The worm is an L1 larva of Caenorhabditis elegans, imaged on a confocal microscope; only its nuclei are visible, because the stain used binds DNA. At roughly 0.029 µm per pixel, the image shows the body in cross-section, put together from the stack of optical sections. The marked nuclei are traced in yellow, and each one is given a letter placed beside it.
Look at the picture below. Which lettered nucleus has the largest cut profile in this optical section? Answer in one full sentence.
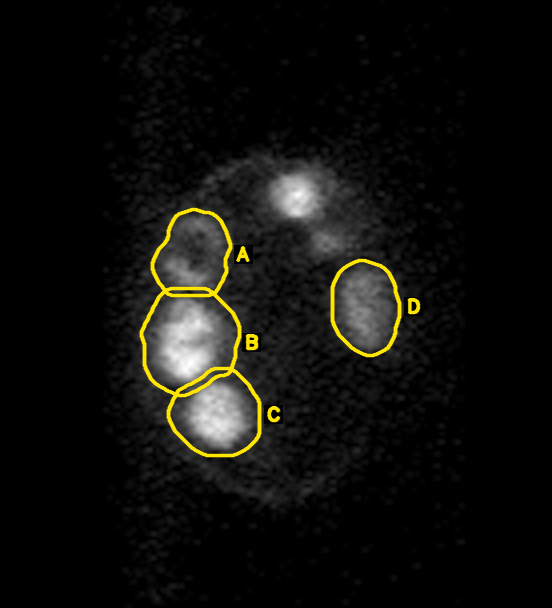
B has the largest area in this section.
